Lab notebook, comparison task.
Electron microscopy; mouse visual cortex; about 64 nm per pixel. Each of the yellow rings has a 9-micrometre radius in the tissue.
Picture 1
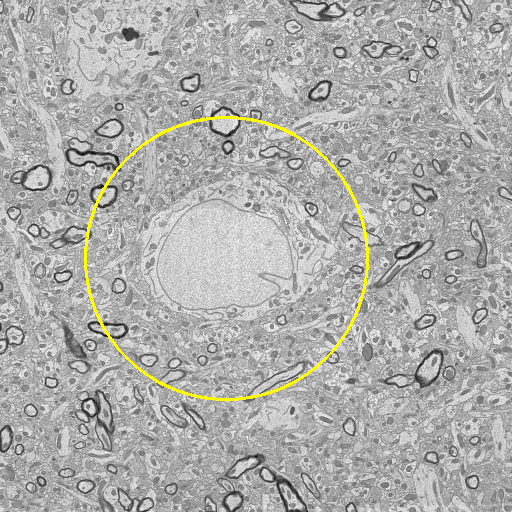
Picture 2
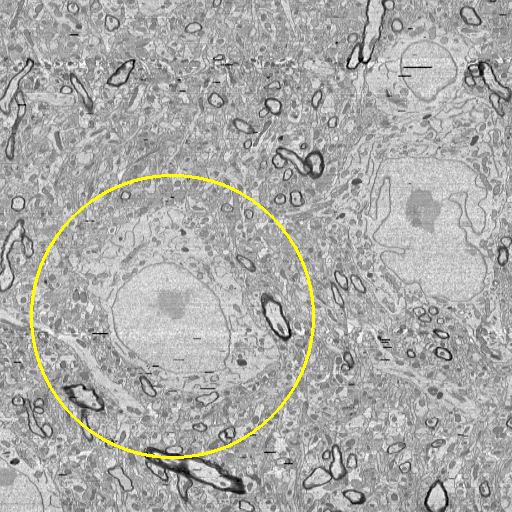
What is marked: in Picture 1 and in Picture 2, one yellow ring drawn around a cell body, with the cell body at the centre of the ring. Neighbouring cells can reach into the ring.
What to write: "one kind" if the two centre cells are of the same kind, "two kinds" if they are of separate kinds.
one kind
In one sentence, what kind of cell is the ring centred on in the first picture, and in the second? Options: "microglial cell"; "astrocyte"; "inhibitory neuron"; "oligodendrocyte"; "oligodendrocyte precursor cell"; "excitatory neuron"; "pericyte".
Both rings mark an excitatory neuron, one in each picture.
